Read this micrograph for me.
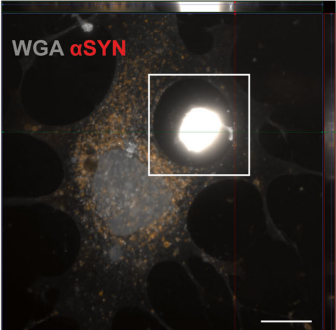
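A broad, flat cell with a grey, finely granular central region and abundant small orange puncta scattered through its cytoplasm occupies the field, with long extensions reaching out between dark, cell-free gaps. Near its upper centre, framed by a white square, a small, very bright rounded cell lies embedded within the large cell, ringed by a dark halo and enclosed on all sides by the surrounding cytoplasm. A short bright process projects from the small cell towards its right. Further thin processes and a few bright fragments lie at the upper left edge.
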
